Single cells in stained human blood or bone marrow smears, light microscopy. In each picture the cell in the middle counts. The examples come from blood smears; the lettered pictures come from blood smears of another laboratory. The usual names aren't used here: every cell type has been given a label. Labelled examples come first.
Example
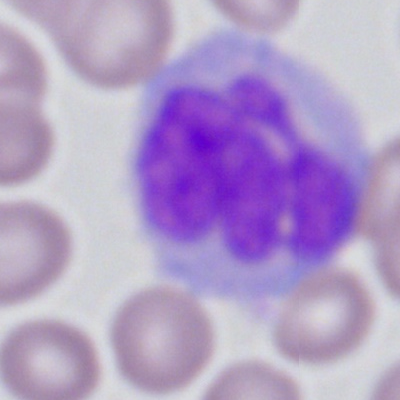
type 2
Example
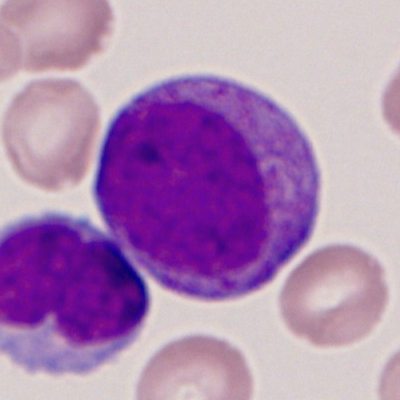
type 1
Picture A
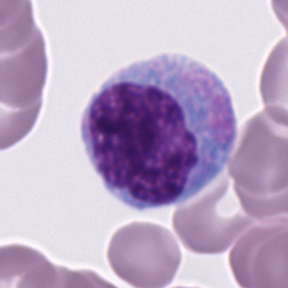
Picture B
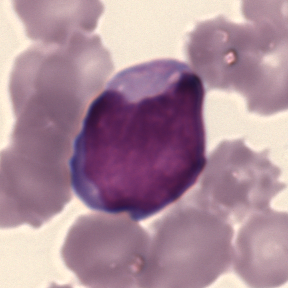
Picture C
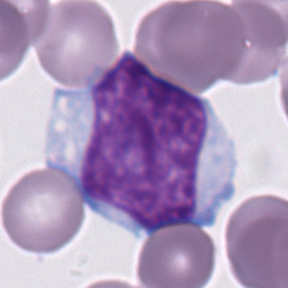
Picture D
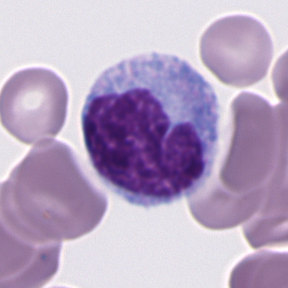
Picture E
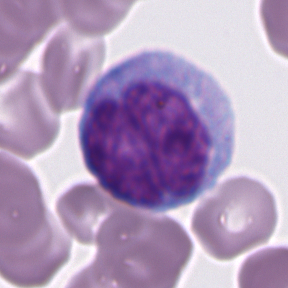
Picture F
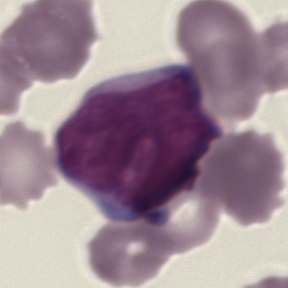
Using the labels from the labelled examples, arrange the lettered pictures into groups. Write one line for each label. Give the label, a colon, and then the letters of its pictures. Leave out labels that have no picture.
type 2: A, D, E
type 1: B, C, F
